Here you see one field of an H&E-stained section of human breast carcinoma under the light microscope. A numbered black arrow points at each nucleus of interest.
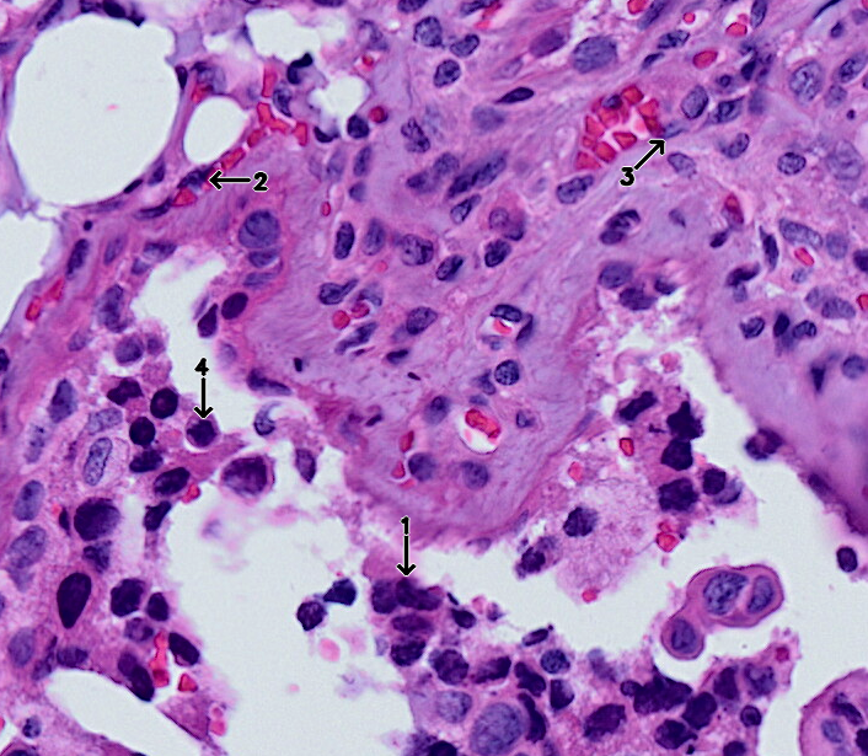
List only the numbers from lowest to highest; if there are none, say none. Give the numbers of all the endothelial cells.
2, 3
